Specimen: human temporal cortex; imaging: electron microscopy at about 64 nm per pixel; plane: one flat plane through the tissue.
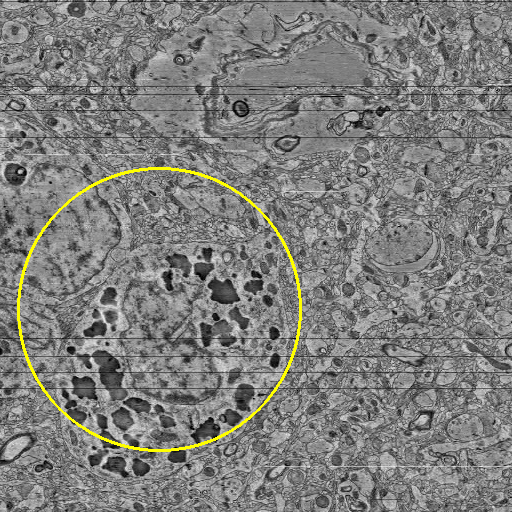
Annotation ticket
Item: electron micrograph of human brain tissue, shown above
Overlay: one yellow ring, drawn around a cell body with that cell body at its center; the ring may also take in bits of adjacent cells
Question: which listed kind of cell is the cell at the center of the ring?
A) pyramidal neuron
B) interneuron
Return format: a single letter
B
